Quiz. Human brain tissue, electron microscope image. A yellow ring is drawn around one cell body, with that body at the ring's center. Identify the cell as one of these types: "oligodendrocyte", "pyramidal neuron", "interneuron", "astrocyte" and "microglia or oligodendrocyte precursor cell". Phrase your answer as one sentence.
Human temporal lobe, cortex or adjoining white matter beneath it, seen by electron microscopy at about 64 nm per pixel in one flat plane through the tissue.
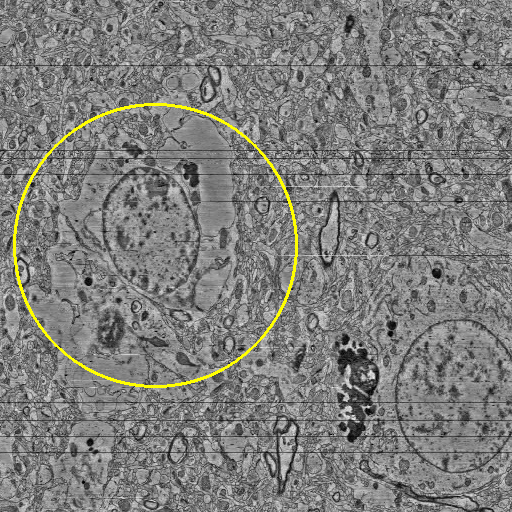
At the center of the ring sits an astrocyte.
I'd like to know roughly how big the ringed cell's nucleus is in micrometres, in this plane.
About 8 micrometres by about 6 micrometres in this plane.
